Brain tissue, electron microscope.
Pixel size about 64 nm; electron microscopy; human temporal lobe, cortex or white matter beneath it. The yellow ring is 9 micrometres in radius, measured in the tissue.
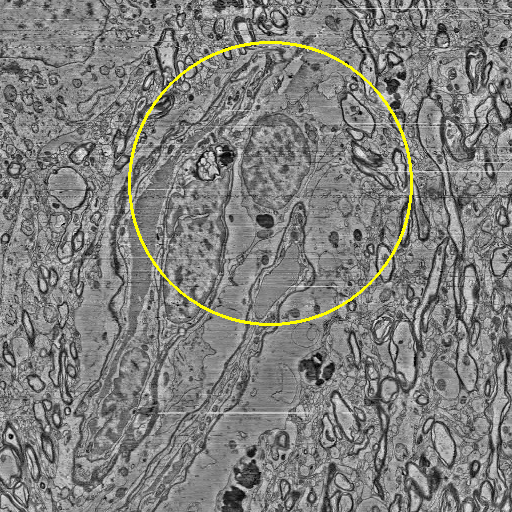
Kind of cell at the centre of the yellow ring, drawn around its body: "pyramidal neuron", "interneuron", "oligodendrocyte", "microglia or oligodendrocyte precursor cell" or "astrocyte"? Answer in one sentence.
The ring's centre falls on an oligodendrocyte.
